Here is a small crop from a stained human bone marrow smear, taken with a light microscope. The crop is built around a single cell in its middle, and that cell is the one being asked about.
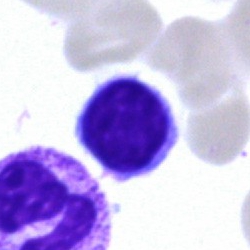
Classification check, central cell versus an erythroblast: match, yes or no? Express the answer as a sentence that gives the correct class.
No, the central cell in this crop is a lymphocyte and not an erythroblast.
